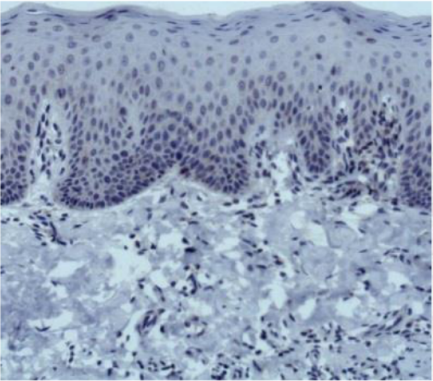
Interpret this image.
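At the bottom of the epithelium the basal cells are small and tightly packed, with dark oval nuclei, and they follow the undulating border where rete ridges dip into the connective tissue. Moving upward, the cells grow larger with paler, rounder nuclei, and near the surface they flatten and lie parallel to it. Below, the connective tissue is loose and pale, with scattered elongated fibroblast nuclei and small spaces. Almost everything is blue; any brown in the lower layers is faint at best.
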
